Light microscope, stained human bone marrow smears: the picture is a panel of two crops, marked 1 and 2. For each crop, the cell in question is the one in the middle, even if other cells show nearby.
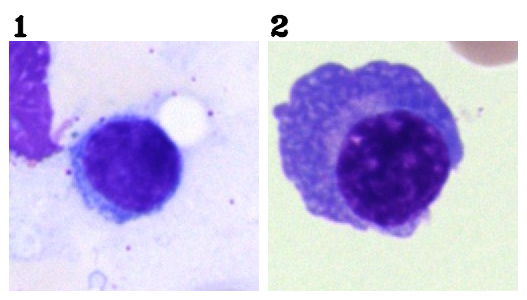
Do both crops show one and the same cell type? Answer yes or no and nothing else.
no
